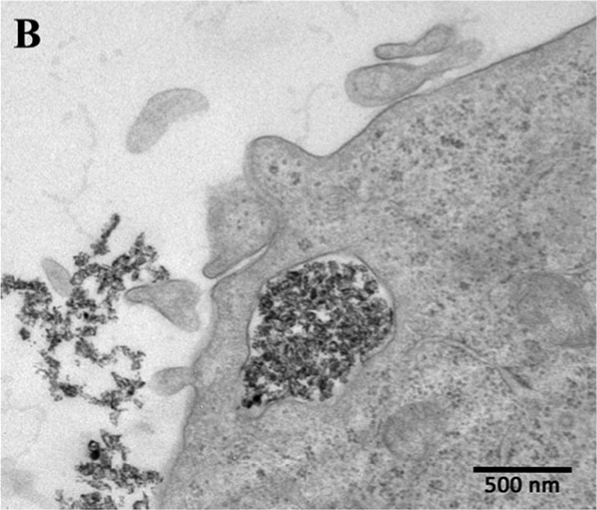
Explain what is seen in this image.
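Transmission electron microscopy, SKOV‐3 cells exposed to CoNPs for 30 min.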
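This electron micrograph shows the edge of a cultured cell with surface processes projecting into the space outside it, where loose dense granular material lies. Inside the cytoplasm, just beneath the plasma membrane, a rounded membrane-bound vesicle is packed with similar dense granular material, and mitochondria lie nearby free of it.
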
